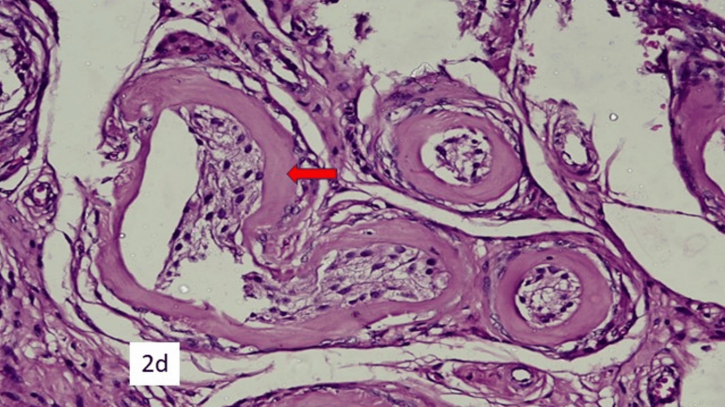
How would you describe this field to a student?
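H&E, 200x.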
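Seminiferous tubules in cross and oblique section have thick, homogeneous, glassy pink walls. Their small lumens hold only a loose scatter of cells with small dark nuclei, and no layered germ-cell epithelium is seen. The tubules lie separated by clear spaces and thin connective tissue.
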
